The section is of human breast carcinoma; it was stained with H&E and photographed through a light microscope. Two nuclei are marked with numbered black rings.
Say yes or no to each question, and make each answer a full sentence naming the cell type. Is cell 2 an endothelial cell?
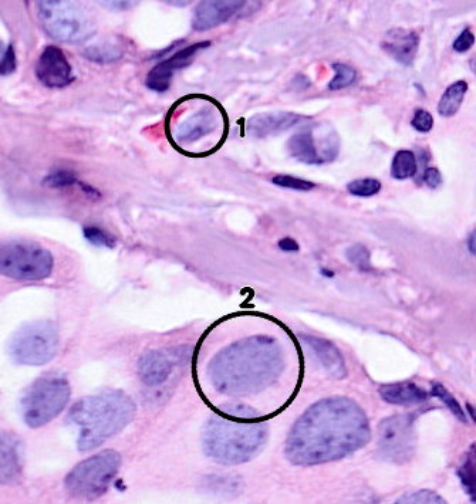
No, the correct answer for cell 2 is a carcinoma cell, not an endothelial cell.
